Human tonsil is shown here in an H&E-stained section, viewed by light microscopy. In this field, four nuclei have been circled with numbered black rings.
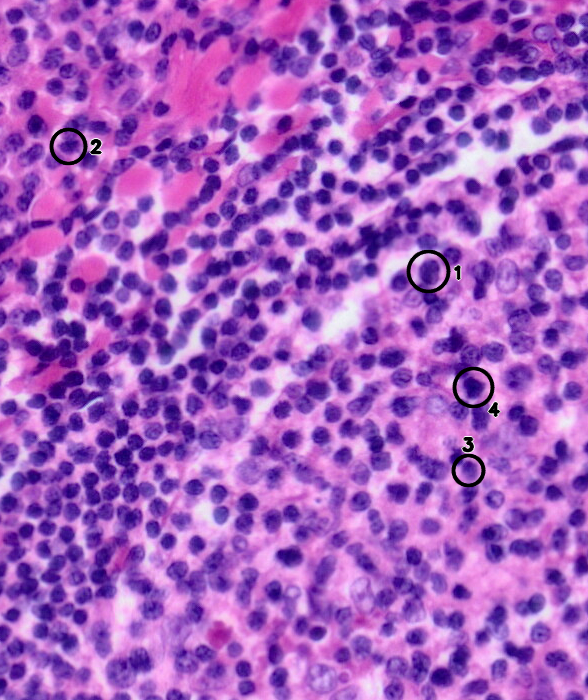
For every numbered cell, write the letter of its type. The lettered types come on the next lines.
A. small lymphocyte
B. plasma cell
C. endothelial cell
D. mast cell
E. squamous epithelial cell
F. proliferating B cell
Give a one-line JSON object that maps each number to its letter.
{"1": "F", "2": "B", "3": "F", "4": "F"}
